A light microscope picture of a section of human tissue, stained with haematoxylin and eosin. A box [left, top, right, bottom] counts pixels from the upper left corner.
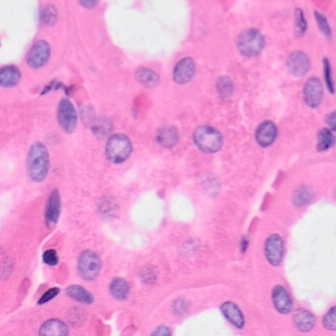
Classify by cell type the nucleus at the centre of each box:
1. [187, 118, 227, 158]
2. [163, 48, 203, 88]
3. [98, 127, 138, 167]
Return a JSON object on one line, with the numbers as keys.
{"1": "proximal tubule cell", "2": "loop of Henle or distal tubule cell", "3": "proximal tubule cell"}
